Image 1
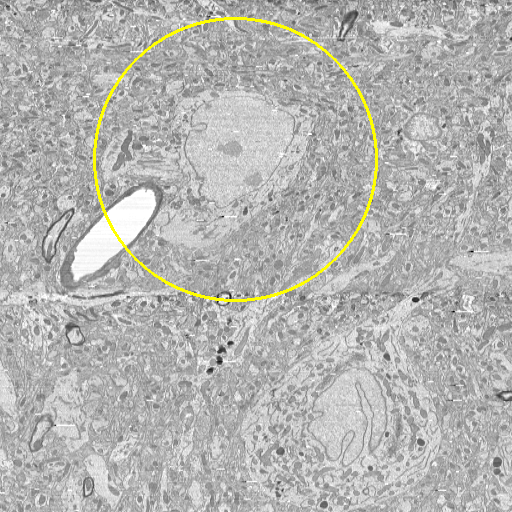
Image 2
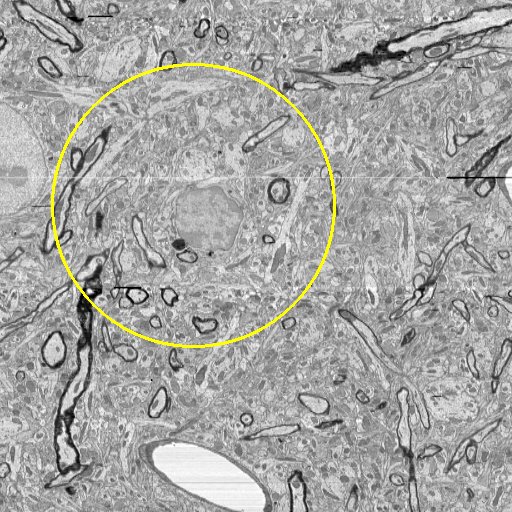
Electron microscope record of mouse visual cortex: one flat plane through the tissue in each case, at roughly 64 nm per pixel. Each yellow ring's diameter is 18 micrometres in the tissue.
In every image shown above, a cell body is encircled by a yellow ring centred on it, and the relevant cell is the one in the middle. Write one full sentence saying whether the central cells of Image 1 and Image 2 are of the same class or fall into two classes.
The cell at the ring's centre in Image 1 and its counterpart in Image 2 fall into two classes.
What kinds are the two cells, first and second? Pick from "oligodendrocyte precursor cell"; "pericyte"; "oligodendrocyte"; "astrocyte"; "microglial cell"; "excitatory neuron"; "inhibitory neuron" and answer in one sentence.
The second picture holds a microglial cell in its ring, and the first holds an excitatory neuron.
